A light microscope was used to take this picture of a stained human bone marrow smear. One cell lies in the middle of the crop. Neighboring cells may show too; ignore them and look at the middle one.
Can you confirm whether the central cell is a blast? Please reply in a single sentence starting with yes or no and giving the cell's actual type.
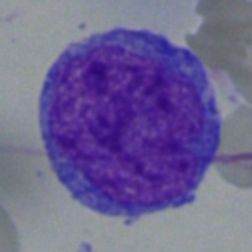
Yes, in this crop the cell in the middle is a blast.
